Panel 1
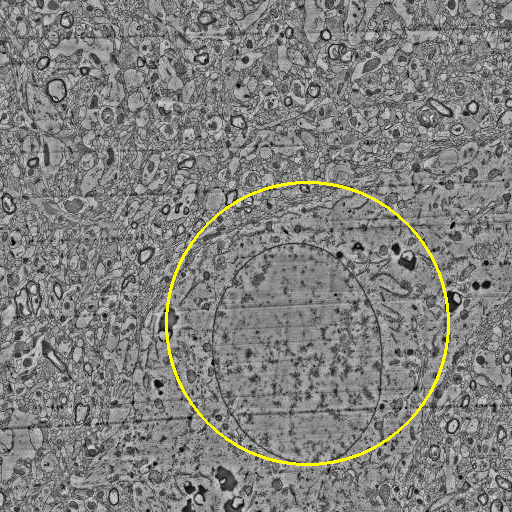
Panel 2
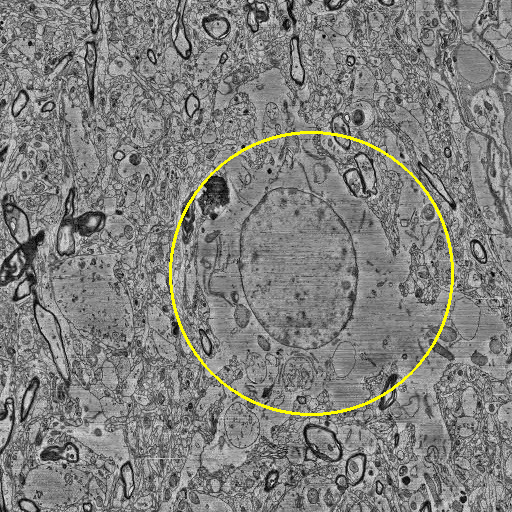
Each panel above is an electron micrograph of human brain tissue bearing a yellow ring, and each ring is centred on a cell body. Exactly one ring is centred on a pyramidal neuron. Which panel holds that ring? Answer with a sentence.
That ring is in Panel 1.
